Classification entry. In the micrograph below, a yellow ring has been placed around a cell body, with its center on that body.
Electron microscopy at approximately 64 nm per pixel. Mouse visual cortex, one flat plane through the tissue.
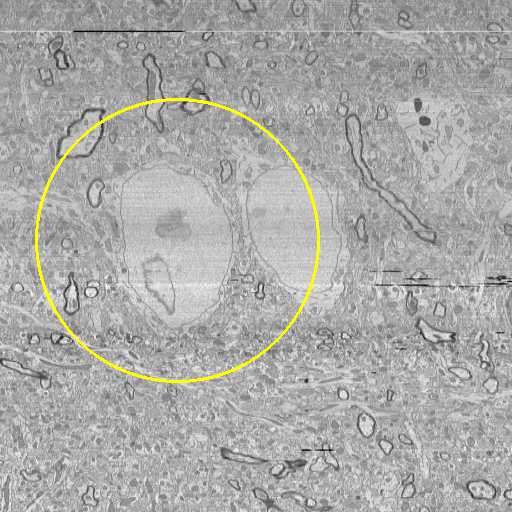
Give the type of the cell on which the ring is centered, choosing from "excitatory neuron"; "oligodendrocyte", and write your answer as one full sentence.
The cell body at the center of the yellow ring belongs to an excitatory neuron.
